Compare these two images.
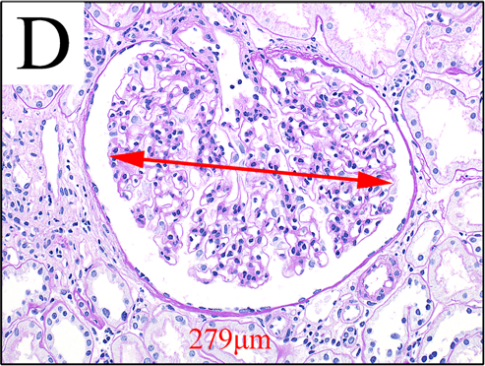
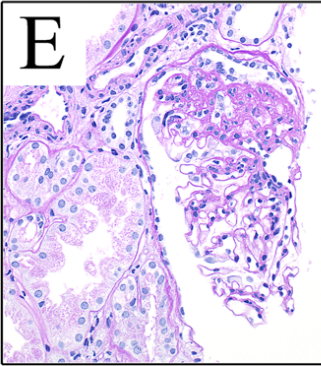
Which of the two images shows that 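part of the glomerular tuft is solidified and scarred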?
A: The second image.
